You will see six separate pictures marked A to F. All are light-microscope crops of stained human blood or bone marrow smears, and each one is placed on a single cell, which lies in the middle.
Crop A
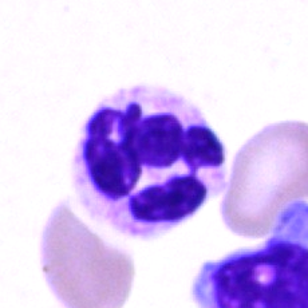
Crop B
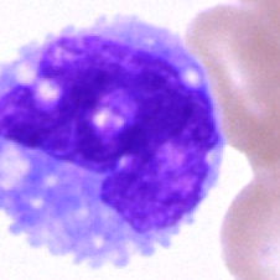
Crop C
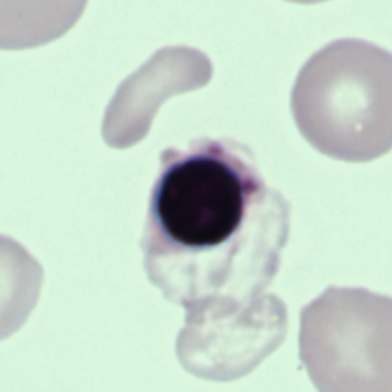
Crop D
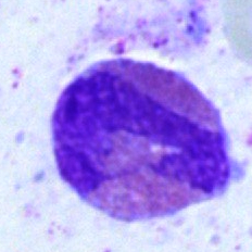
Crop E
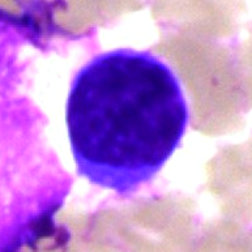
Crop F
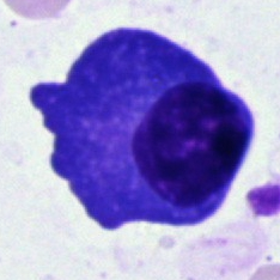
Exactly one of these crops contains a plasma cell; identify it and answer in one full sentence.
It is the cell in crop F that is a plasma cell.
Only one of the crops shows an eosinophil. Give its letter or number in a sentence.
Identified crop: D, the one that shows an eosinophil.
